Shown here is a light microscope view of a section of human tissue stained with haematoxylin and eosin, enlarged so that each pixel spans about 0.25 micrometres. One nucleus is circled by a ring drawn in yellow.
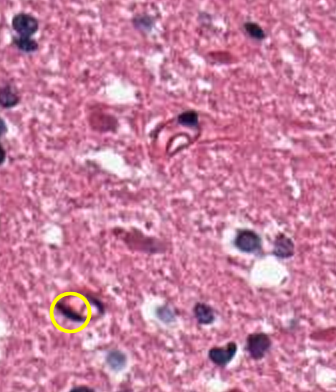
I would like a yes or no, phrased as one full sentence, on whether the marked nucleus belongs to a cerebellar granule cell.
No, rather than to a cerebellar granule cell, the marked nucleus belongs to a supporting cell.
